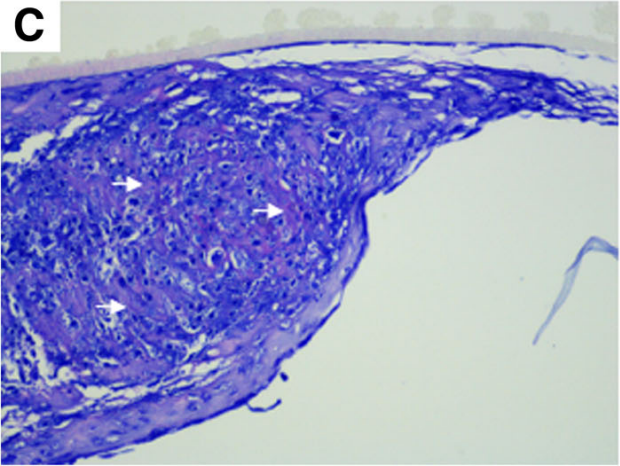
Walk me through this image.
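The centre of the nodule is densely cellular, with many rounded cells, some sitting within small clear spaces. Between the central cells lies matrix with a pinkish-purple tint, differing from the deep blue of the cell nuclei and the surrounding tissue. Toward the edge the cells are flattened and elongated, forming a layered rim around the nodule.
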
